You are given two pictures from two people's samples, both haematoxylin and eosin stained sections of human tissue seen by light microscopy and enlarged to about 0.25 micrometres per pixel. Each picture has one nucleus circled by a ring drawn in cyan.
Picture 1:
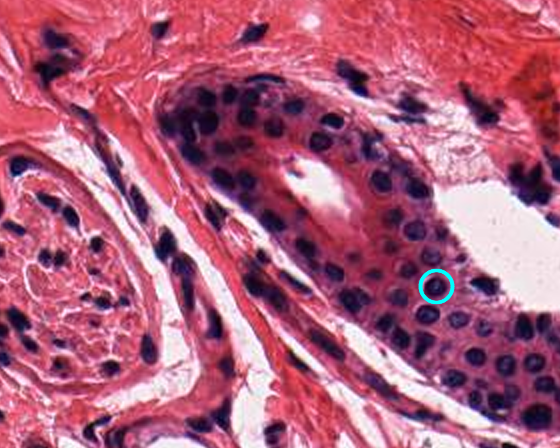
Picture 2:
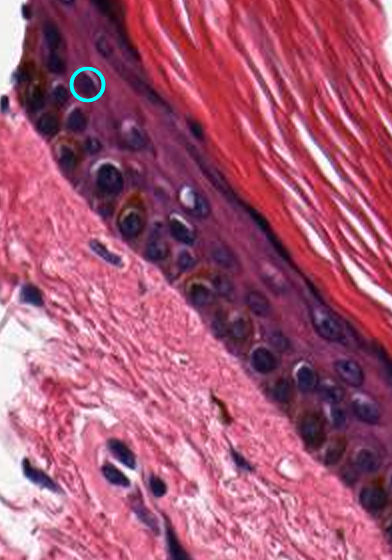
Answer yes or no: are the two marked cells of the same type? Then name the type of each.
No, the first is a sweat gland cell and the second a keratinocyte.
